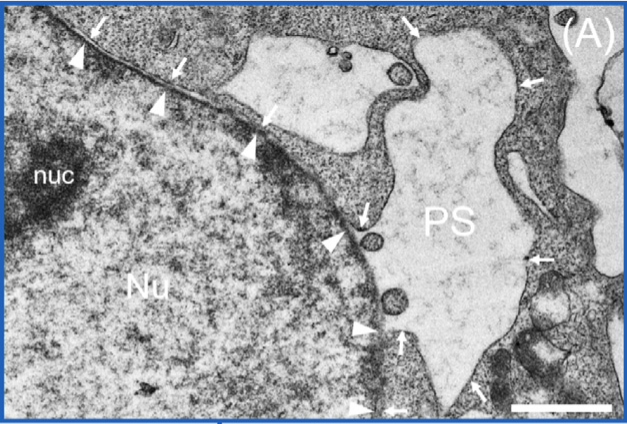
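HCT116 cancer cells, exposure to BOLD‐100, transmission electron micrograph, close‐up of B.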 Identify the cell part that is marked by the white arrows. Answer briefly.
Outer nuclear membrane.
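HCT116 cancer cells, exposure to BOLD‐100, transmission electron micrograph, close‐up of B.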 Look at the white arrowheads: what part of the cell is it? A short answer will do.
Inner nuclear membrane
